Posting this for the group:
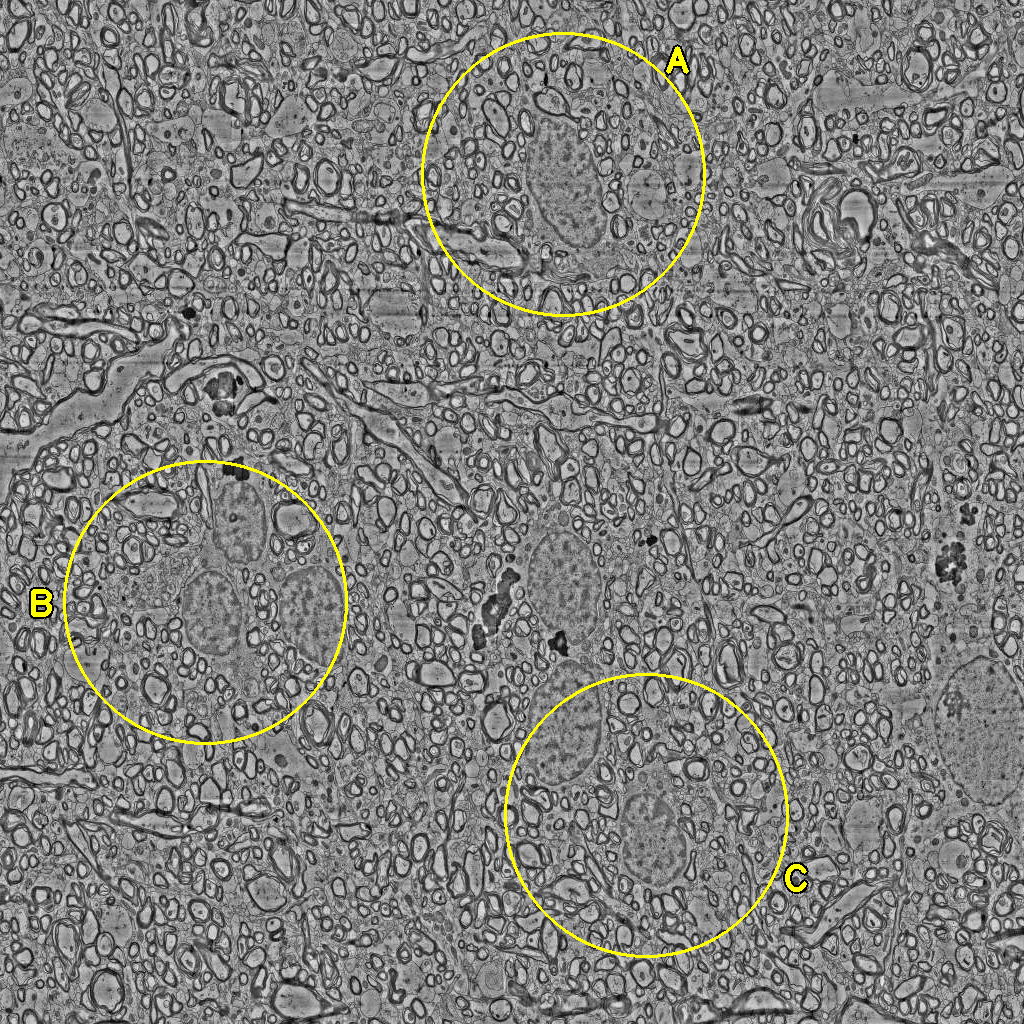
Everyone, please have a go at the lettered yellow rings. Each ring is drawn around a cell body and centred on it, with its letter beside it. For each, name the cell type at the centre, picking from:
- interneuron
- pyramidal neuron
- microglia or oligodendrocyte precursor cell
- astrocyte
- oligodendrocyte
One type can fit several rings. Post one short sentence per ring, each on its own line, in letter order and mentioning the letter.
My call for ring A is an oligodendrocyte.
My call for ring B is an oligodendrocyte.
My call for ring C is an oligodendrocyte.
